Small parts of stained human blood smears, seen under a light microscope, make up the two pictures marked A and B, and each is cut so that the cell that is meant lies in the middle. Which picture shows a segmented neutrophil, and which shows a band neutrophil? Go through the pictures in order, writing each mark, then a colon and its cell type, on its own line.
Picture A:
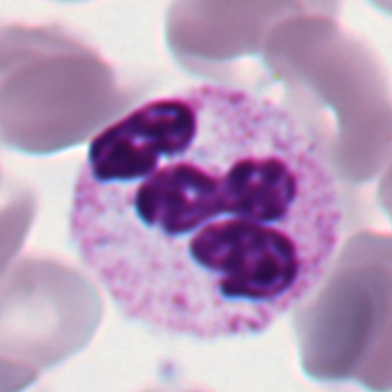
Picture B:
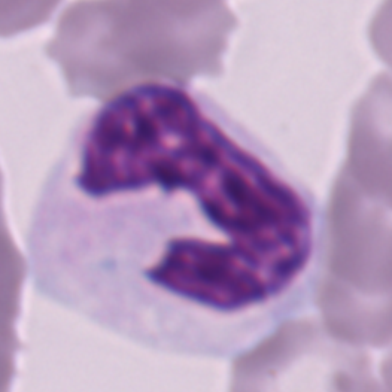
A: segmented neutrophil
B: band neutrophil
